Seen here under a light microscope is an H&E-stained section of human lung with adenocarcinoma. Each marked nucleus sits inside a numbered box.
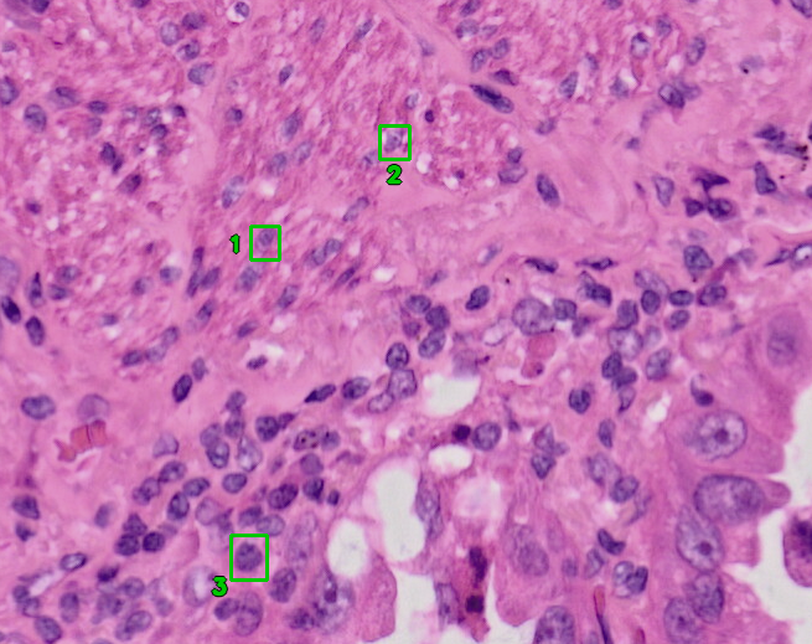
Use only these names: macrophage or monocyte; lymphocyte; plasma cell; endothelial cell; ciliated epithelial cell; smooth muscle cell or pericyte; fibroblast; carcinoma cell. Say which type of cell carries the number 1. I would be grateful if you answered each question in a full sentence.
The cell referred to as 1 is a smooth muscle cell or pericyte.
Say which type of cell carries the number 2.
The cell with the number 2 is a smooth muscle cell or pericyte.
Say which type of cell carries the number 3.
The mark numbered 3 indicates the nucleus of a lymphocyte.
